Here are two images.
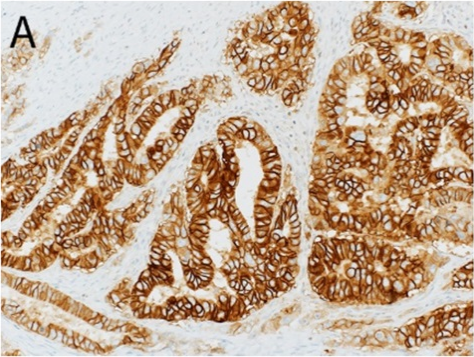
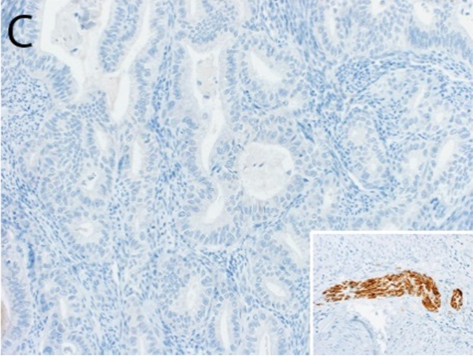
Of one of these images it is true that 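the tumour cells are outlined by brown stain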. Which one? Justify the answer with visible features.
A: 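Second image: the tumour glands show only blue nuclei and pale cytoplasm, no brown. First image: nearly every tumour cell is rimmed by dark brown stain at its membrane.
Conclusion: the first image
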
